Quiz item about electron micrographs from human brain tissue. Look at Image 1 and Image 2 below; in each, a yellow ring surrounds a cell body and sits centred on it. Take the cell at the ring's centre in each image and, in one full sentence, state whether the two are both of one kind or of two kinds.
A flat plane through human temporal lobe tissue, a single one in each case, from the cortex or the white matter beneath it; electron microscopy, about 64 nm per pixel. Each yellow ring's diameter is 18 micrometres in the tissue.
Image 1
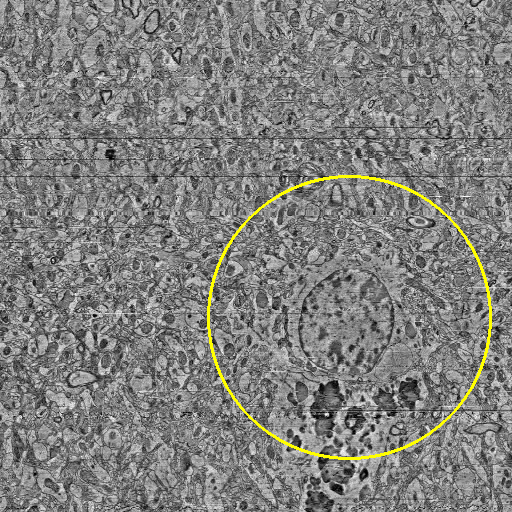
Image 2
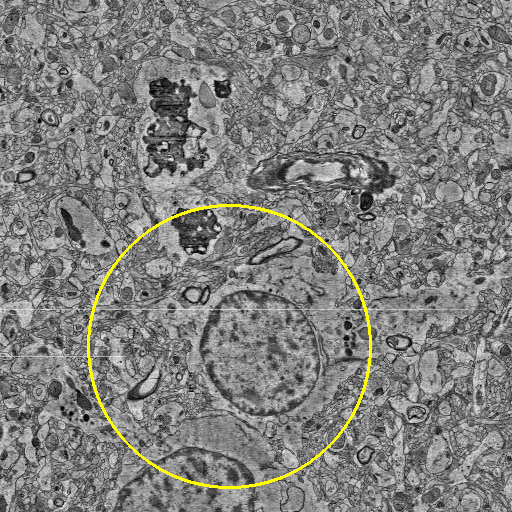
In Image 1 and Image 2, the cells at the ring centres are both of one kind.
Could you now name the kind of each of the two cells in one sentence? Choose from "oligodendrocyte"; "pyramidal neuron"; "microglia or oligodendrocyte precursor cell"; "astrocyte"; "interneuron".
In both pictures the ring is centred on an astrocyte.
